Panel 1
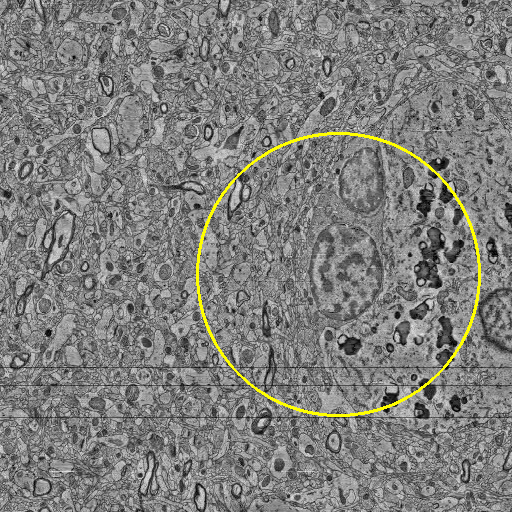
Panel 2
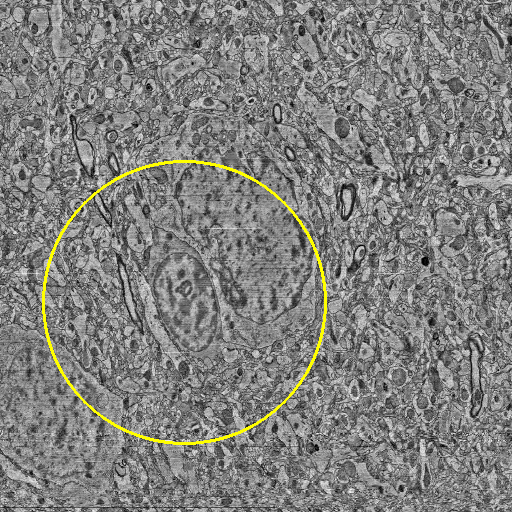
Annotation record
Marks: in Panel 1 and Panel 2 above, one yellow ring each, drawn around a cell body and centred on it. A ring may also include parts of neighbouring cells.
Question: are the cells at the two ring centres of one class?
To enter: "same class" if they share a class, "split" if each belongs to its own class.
same class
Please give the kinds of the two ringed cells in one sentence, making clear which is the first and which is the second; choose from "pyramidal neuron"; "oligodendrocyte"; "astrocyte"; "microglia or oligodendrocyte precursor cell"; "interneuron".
Both rings mark an oligodendrocyte, one in each picture.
